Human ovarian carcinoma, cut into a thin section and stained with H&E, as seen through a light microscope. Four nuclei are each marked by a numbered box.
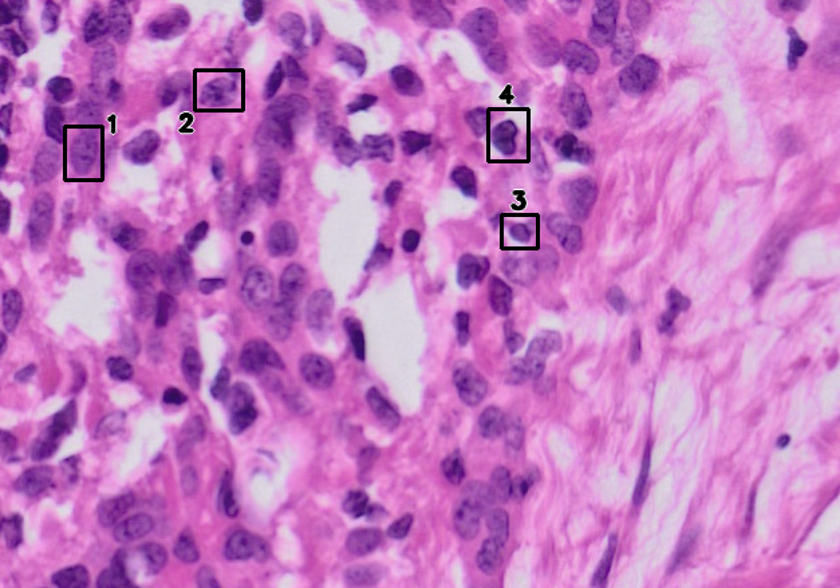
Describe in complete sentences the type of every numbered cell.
Cells 1, 3 and 4 are carcinoma cells. Cell 2 is a macrophage or monocyte.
